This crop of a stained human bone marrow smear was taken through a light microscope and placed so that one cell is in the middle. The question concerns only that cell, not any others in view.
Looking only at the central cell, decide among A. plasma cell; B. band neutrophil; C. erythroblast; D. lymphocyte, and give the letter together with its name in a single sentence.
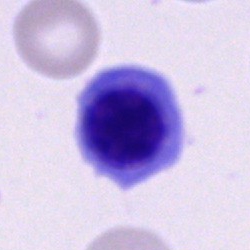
In this crop the middle cell is an erythroblast, so option C is the correct answer.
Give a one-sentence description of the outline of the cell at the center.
The edge is uneven, and this unevenness takes the form of ragged stretches or projections.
